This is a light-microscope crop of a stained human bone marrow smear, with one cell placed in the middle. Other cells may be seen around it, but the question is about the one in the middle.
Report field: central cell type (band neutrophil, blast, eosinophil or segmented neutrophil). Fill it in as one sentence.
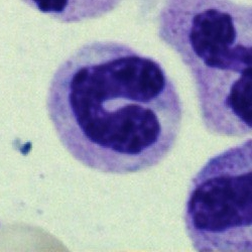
The cell that lies at the centre of the crop is a band neutrophil.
